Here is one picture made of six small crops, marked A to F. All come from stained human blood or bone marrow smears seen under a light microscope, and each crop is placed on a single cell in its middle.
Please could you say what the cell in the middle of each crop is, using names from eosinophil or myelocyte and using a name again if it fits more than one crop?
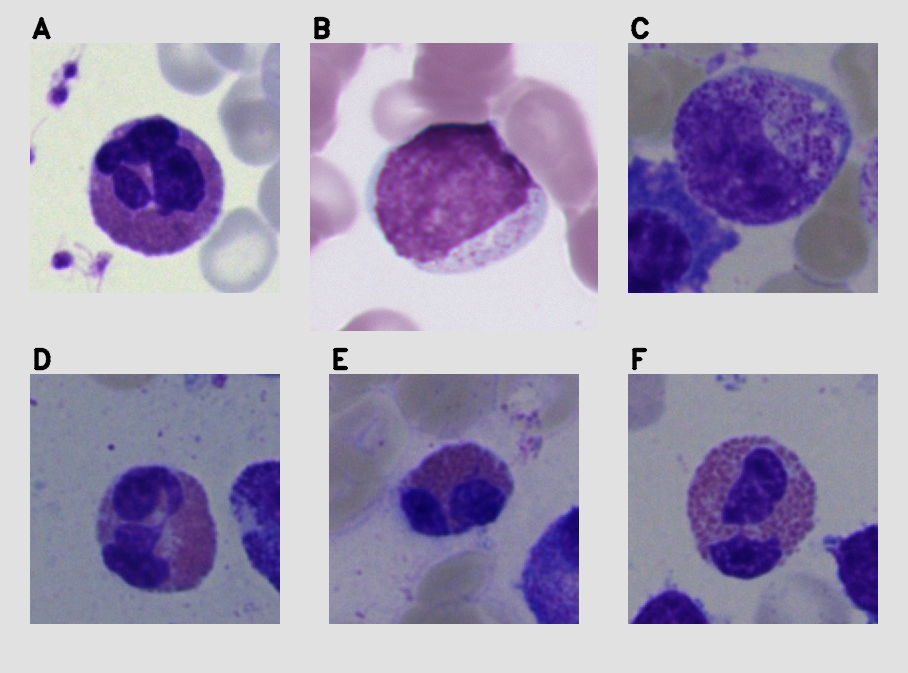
A: eosinophil
B: myelocyte
C: myelocyte
D: eosinophil
E: eosinophil
F: eosinophil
